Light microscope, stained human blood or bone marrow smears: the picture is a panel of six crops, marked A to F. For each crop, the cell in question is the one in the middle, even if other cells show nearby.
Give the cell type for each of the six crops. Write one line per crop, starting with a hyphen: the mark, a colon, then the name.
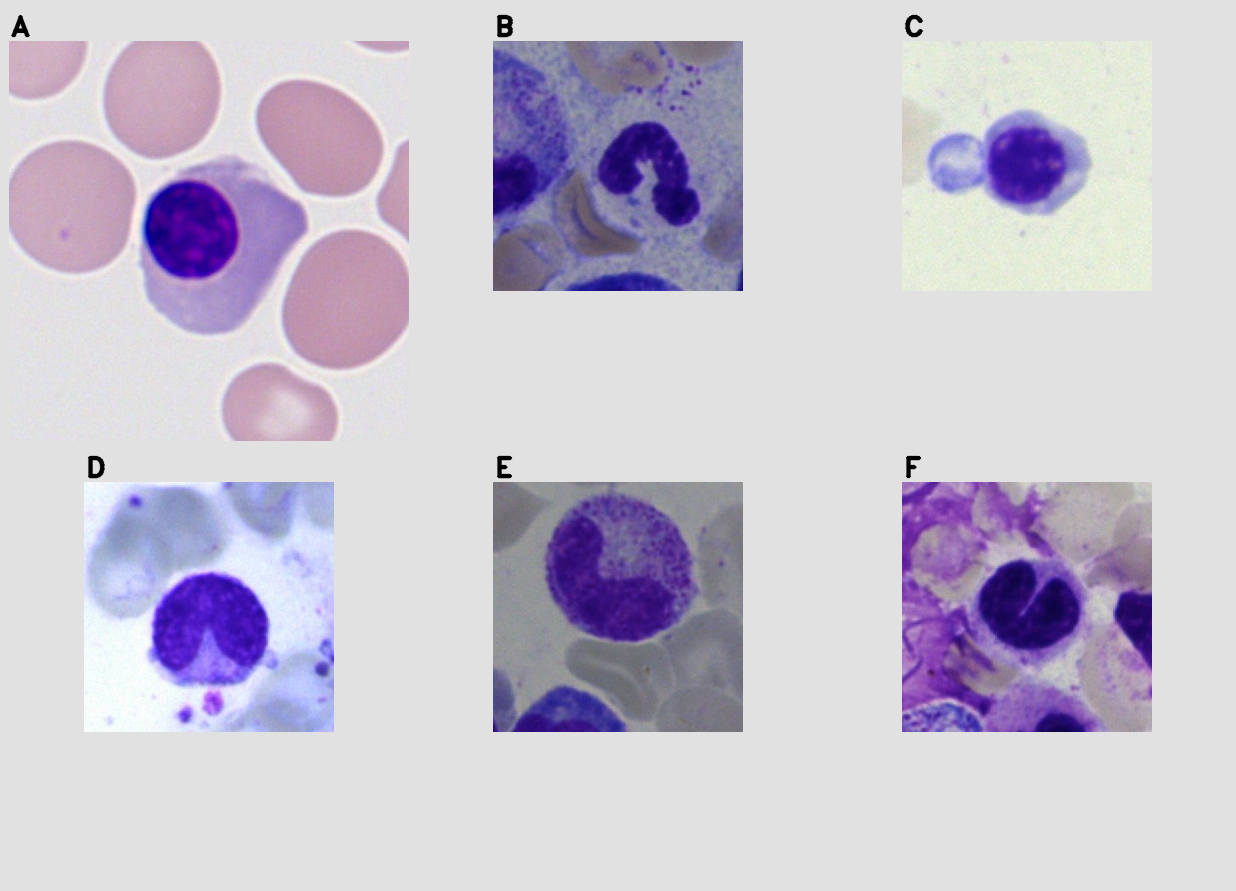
- A: normoblast
- B: band neutrophil
- C: normoblast
- D: band neutrophil
- E: band neutrophil
- F: band neutrophil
